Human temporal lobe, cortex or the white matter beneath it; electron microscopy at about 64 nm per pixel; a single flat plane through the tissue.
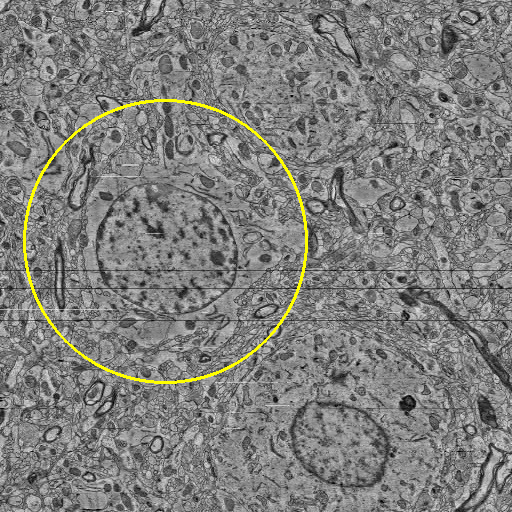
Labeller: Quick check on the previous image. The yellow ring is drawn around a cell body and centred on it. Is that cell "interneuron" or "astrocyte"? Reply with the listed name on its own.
astrocyte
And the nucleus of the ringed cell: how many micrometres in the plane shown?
The nucleus is approximately 9 micrometers across in this plane.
